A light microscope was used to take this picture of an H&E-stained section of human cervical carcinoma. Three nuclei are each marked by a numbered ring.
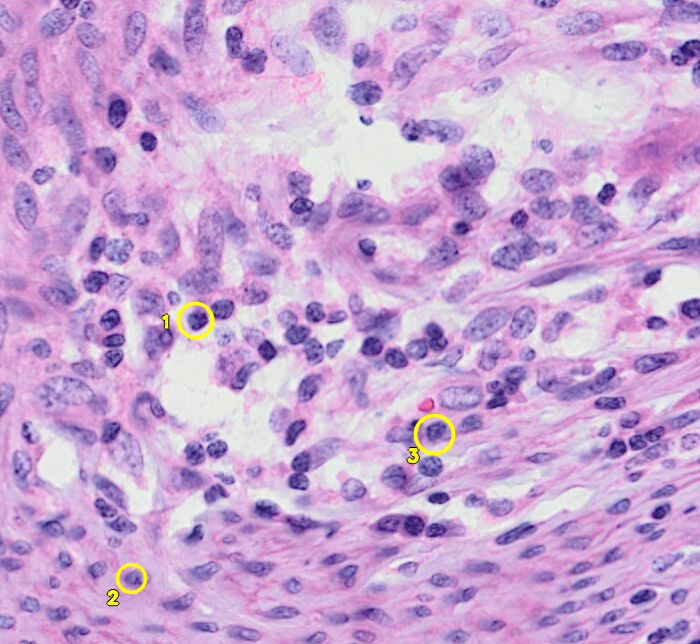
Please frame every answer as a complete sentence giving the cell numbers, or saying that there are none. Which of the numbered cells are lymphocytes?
In terms of cell type, cells 1 and 3 are lymphocytes.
